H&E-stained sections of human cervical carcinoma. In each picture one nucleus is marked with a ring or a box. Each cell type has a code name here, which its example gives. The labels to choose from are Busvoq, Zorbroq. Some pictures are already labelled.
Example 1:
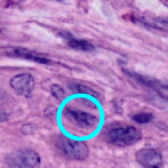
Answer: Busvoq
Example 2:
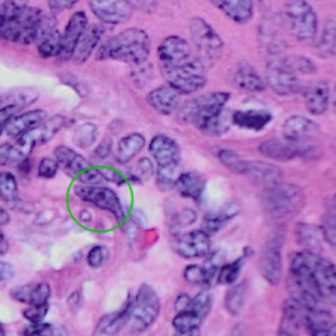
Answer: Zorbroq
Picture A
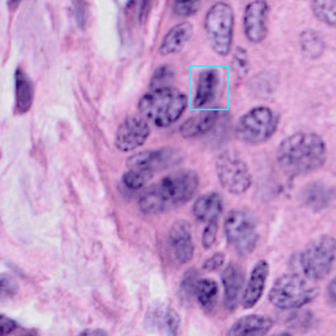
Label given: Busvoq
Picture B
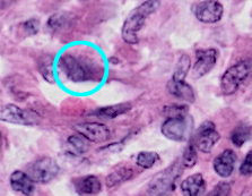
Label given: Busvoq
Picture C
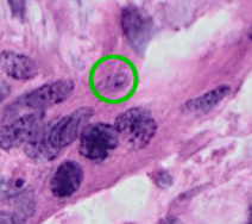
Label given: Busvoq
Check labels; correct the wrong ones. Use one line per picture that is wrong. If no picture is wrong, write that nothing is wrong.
B: change Busvoq to Zorbroq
